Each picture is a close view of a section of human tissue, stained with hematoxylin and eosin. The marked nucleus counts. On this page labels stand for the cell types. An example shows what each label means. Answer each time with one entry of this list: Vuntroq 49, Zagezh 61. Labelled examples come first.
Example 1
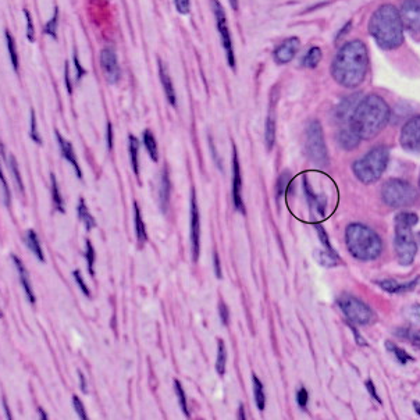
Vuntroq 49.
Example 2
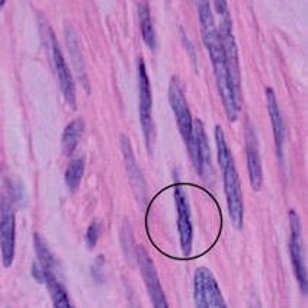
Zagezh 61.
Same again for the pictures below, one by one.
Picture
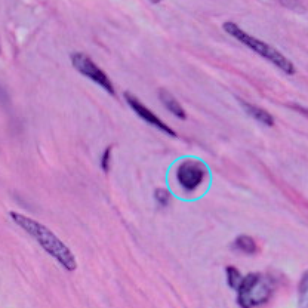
Vuntroq 49.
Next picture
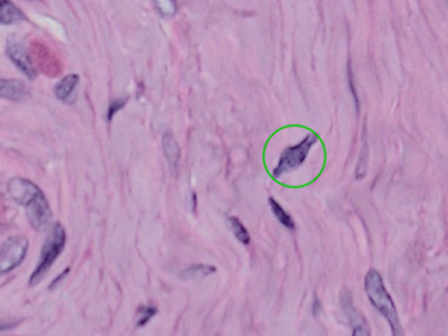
Vuntroq 49.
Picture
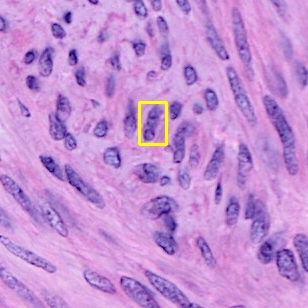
Zagezh 61.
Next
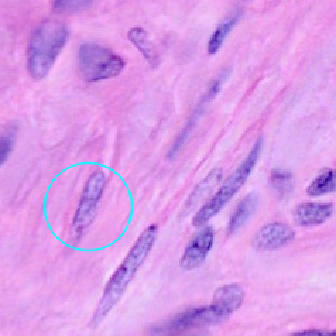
Zagezh 61.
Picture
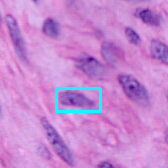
Zagezh 61.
